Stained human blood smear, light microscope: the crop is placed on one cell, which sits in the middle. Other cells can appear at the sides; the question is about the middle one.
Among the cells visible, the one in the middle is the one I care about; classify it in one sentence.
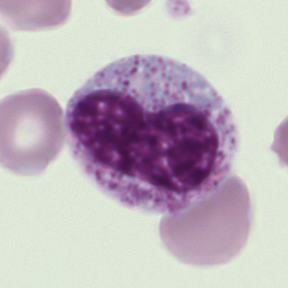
The cell in the middle of the field of view is a band neutrophil.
